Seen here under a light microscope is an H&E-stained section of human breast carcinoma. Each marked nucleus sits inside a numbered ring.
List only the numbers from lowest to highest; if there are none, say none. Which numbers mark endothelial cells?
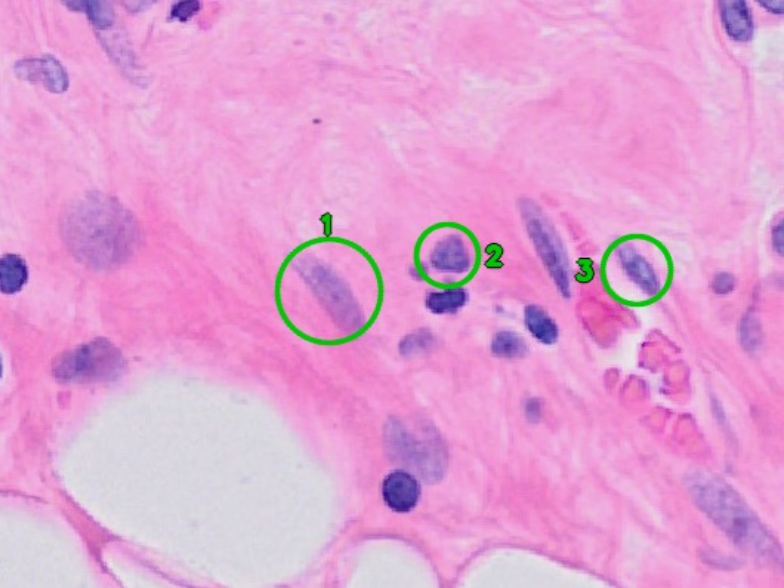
3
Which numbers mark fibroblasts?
1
